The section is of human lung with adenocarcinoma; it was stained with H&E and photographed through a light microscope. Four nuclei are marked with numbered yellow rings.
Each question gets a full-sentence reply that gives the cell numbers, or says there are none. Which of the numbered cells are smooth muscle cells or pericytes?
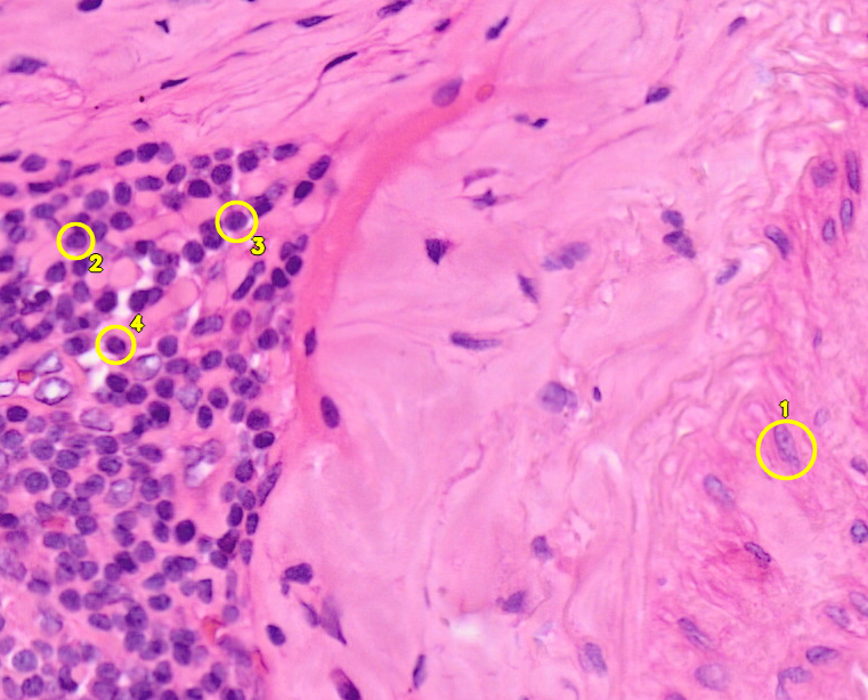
Of the numbered nuclei, only the one labelled 1 belongs to a smooth muscle cell or pericyte.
